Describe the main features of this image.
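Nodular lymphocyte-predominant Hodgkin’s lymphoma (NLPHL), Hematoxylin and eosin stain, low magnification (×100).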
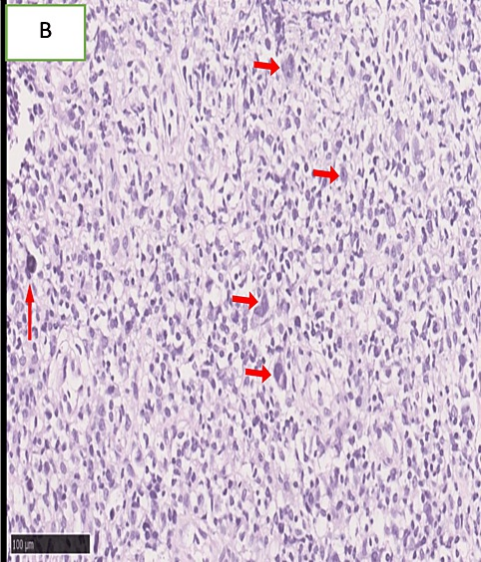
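Small purple nuclei lie spaced apart in a light pink, somewhat fibrillar background. Many nuclei are oval to elongated rather than perfectly round. Scattered among them are a few larger, darker-staining cells, and the red arrows point to several of these.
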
